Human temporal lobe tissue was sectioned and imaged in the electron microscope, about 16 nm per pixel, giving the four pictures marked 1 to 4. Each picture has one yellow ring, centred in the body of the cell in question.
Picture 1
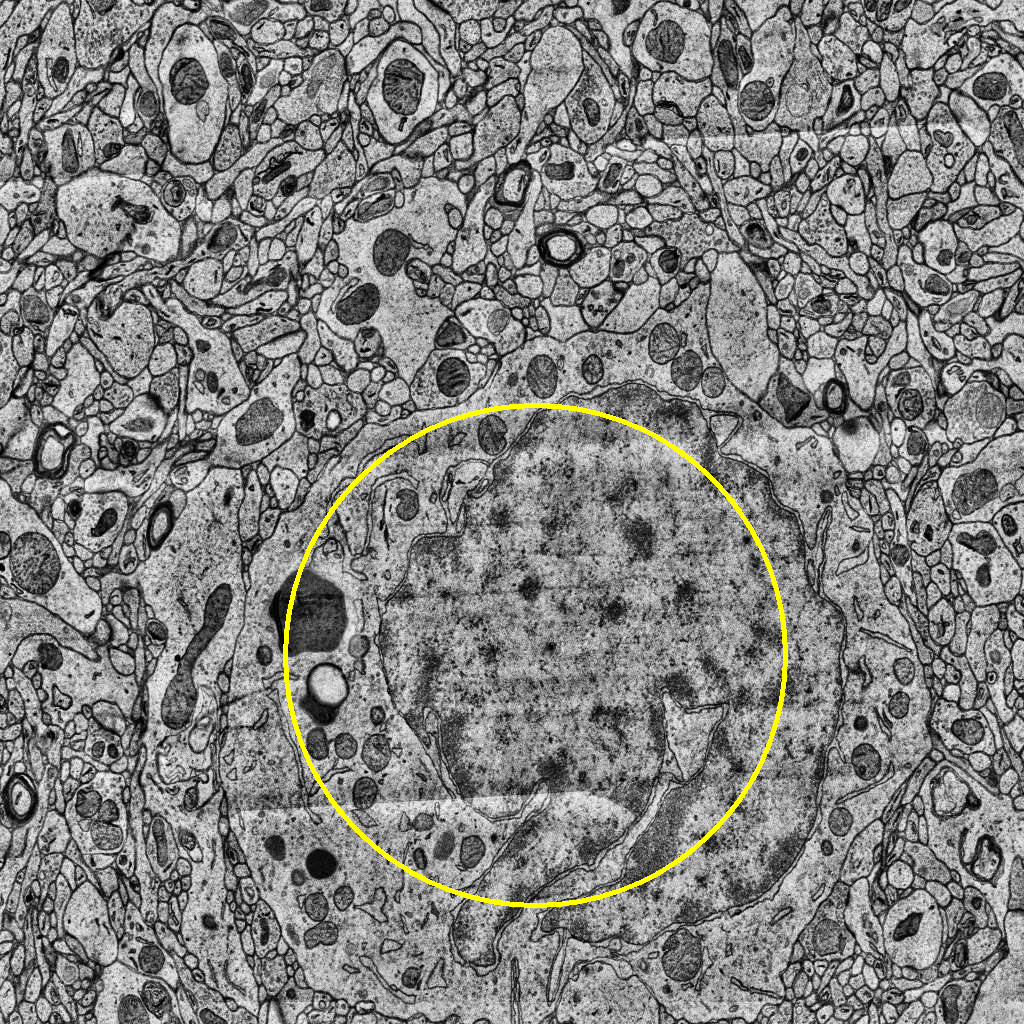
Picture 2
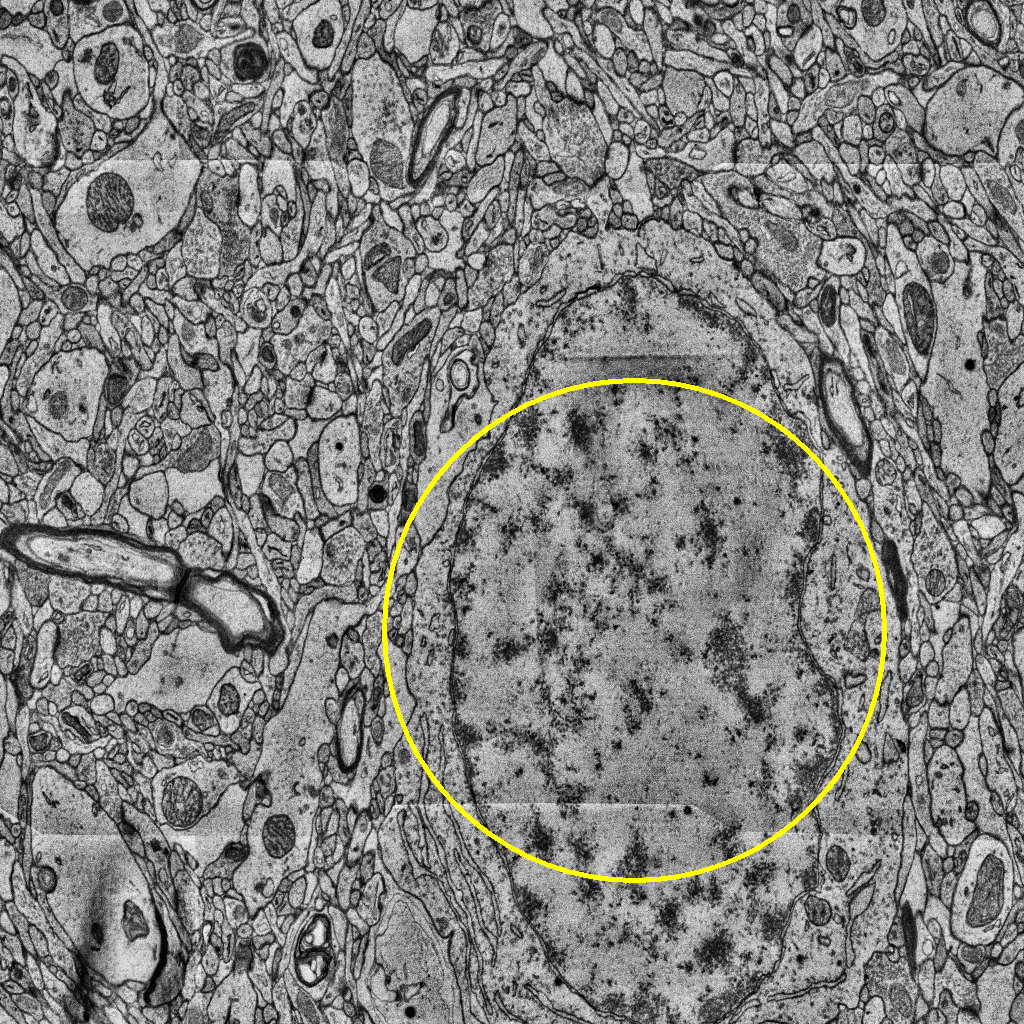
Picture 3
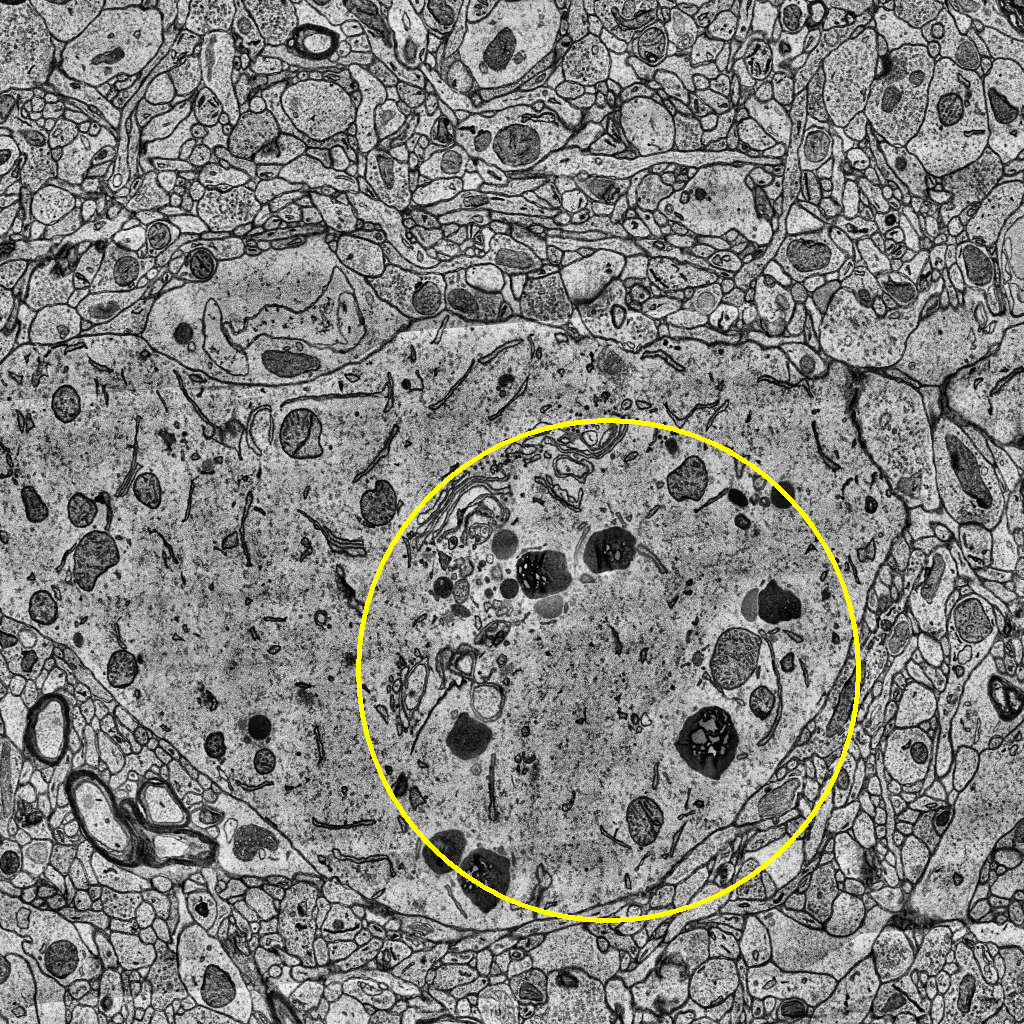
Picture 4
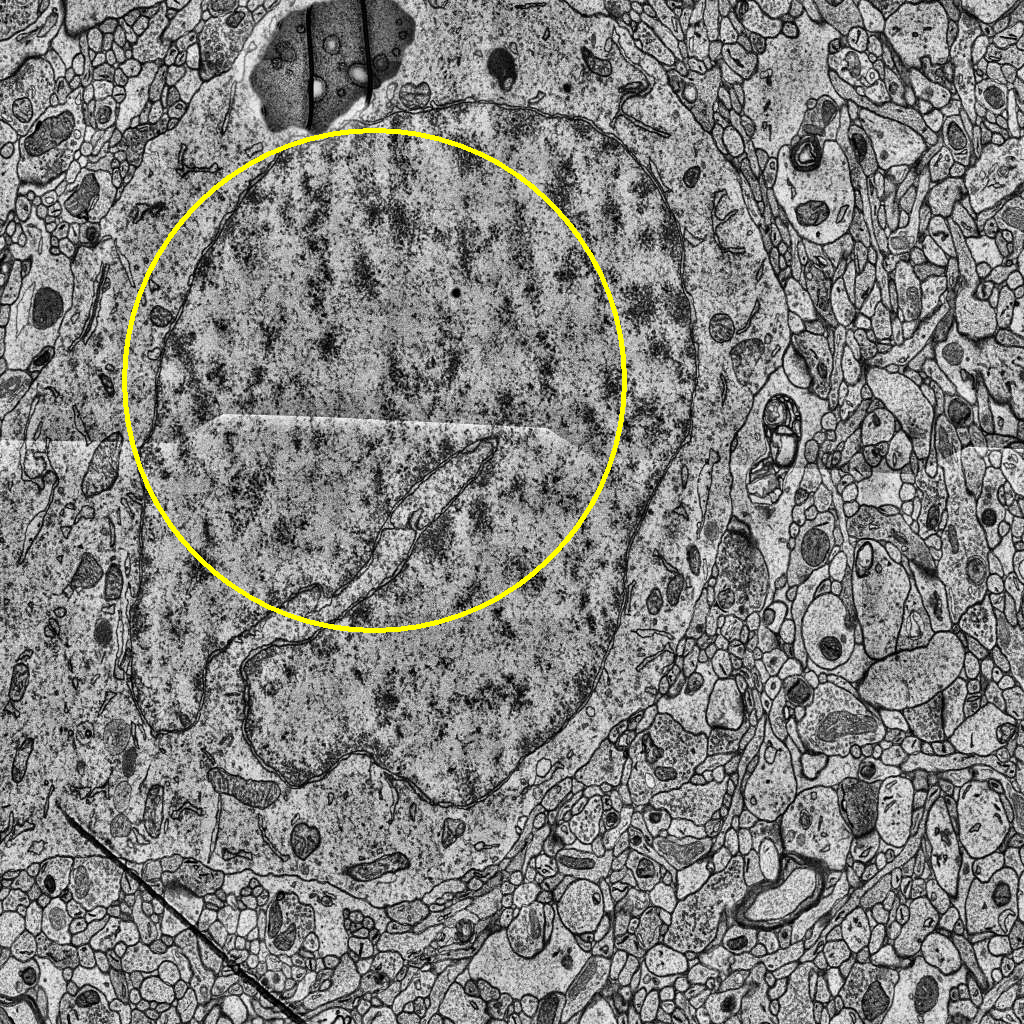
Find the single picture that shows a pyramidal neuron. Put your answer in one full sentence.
The picture with the pyramidal neuron is 3.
